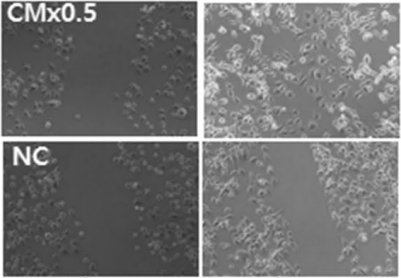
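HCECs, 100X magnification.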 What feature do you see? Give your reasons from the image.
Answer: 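In the left-hand images a vertical cell-free band runs down the middle of the cell layer. Cells lie on both sides of the empty band. So: scratch gaps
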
